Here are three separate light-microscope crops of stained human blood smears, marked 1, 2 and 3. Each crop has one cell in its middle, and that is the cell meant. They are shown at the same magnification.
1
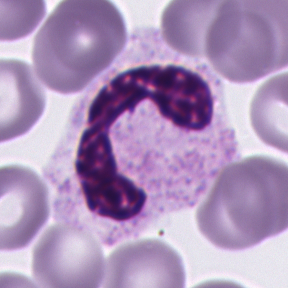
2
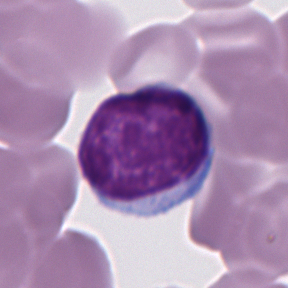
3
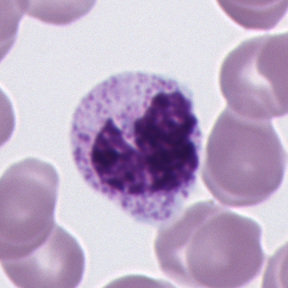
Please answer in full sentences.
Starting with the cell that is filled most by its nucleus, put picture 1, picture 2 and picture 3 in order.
The most filled comes first: 2, 3, 1.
